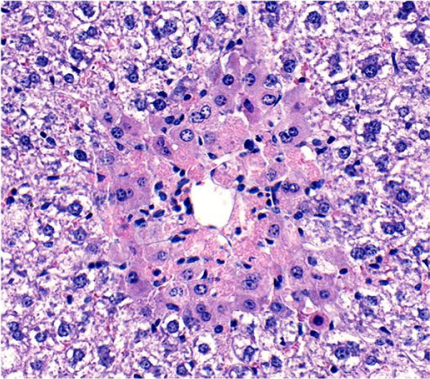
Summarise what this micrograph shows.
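This is a section of liver with a small open vessel in the centre, ringed by a few layers of hepatocytes with pink cytoplasm. These cells around the vessel keep clear round nuclei, and a few small dark nuclei lie among them. The rest of the field is made of hepatocytes with paler, finely clear cytoplasm and round nuclei, some cells carrying two nuclei.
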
